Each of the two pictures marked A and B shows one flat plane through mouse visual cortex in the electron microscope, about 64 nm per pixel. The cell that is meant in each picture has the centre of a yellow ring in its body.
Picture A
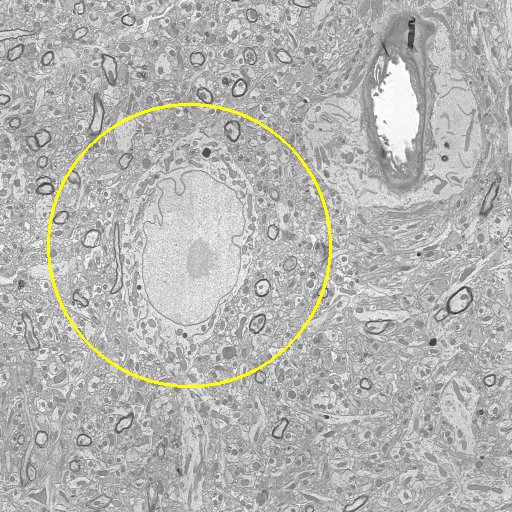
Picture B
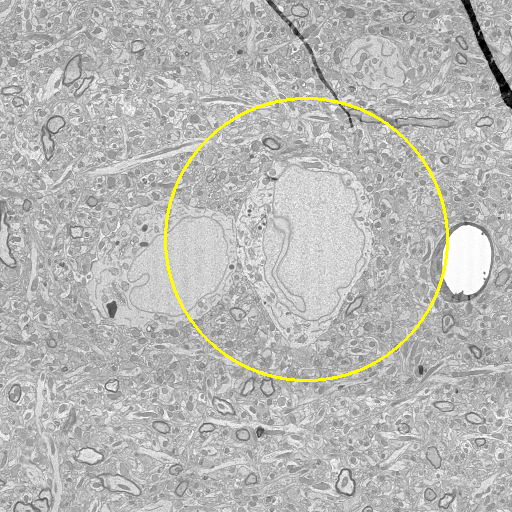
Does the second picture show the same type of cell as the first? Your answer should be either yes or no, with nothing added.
yes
